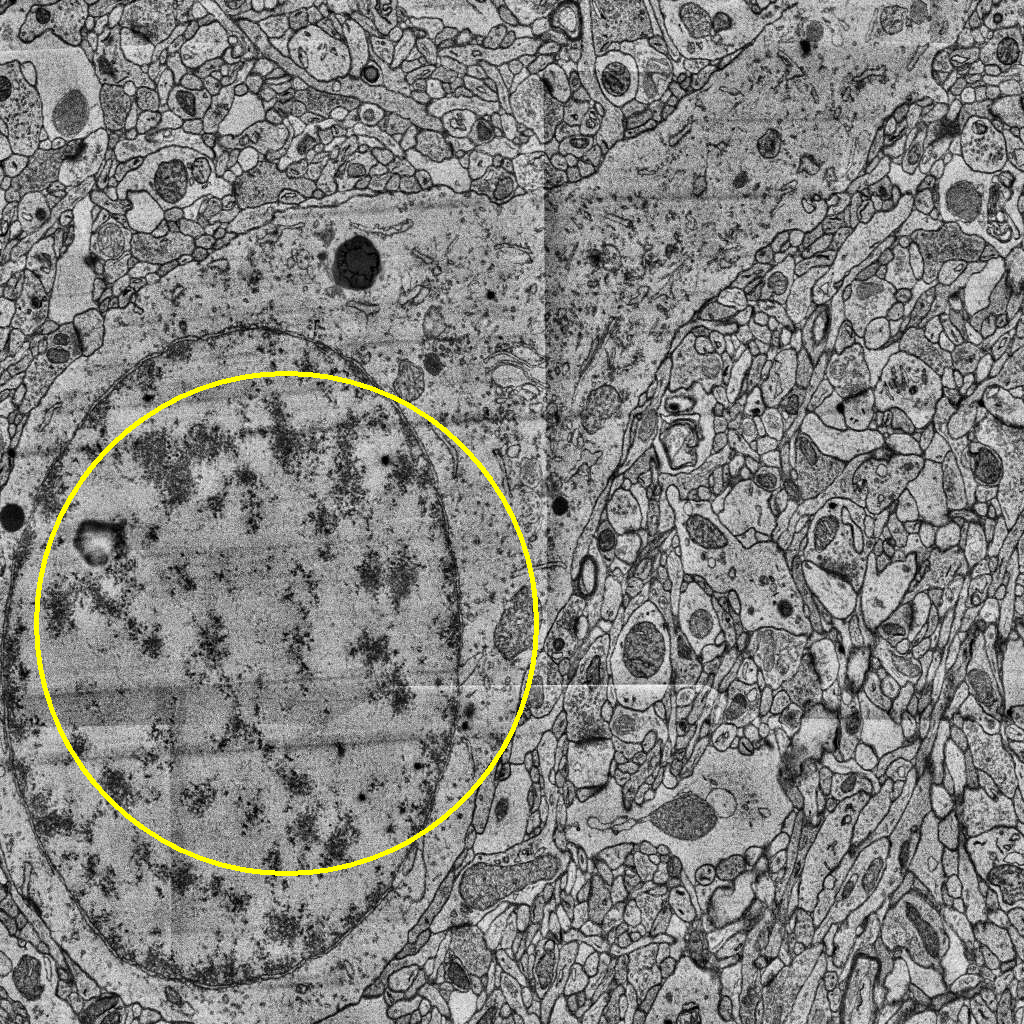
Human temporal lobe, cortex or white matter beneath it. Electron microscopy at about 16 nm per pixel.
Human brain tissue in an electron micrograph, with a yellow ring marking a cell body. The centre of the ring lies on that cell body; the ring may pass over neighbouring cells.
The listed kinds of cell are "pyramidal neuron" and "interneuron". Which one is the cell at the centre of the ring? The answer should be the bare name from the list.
pyramidal neuron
